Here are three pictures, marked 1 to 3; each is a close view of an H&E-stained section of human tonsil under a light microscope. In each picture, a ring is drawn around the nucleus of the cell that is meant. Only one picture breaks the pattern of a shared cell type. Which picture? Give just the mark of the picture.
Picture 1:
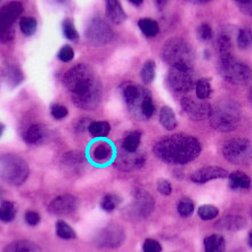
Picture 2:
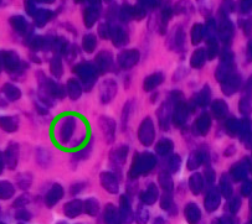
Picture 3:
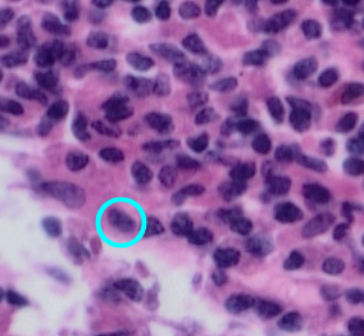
1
